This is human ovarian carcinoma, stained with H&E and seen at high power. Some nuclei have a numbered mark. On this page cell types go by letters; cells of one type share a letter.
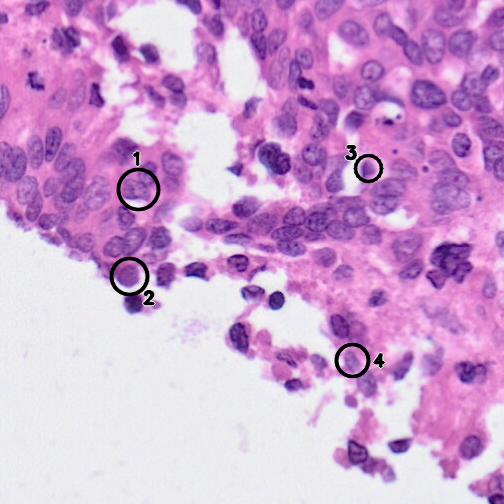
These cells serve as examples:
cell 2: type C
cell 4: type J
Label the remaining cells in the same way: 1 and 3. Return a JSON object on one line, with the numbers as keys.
{"1": "type C", "3": "type C"}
